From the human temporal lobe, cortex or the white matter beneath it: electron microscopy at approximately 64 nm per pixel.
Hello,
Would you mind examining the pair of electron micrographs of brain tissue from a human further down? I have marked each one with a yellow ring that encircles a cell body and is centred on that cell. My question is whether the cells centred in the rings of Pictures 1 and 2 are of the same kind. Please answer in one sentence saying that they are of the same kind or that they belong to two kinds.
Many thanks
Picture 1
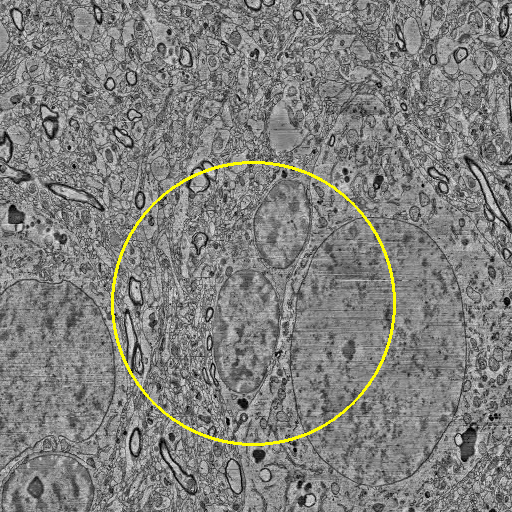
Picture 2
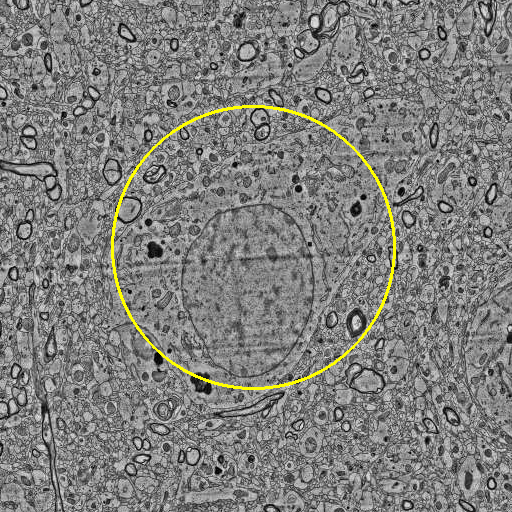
In Pictures 1 and 2, the cells at the heart of the rings belong to two kinds.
